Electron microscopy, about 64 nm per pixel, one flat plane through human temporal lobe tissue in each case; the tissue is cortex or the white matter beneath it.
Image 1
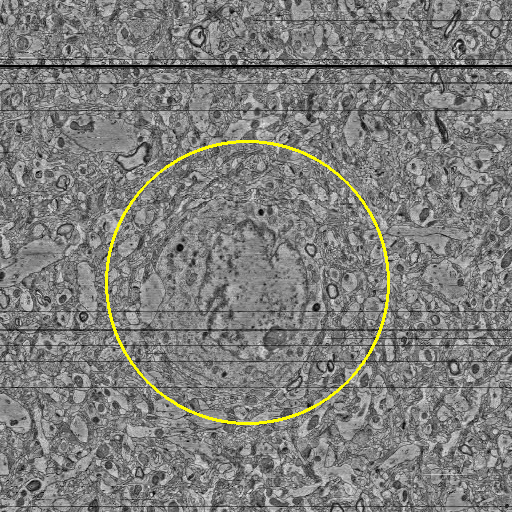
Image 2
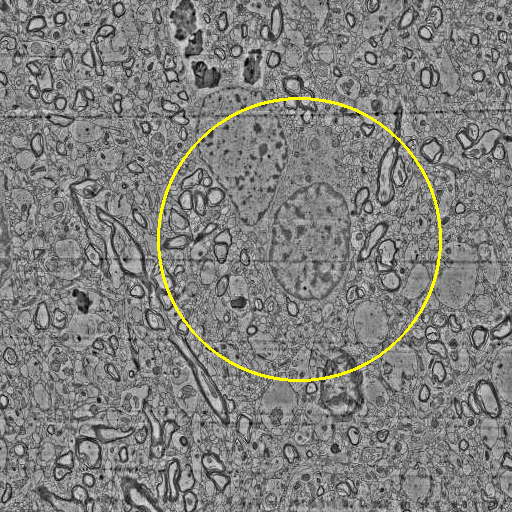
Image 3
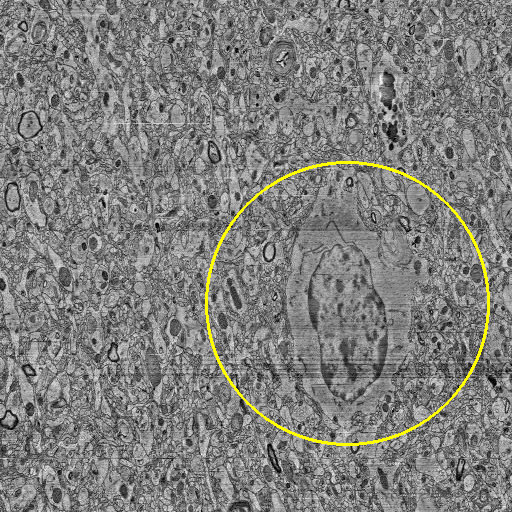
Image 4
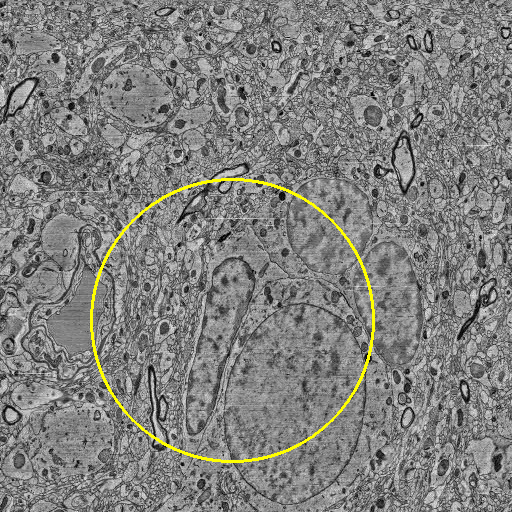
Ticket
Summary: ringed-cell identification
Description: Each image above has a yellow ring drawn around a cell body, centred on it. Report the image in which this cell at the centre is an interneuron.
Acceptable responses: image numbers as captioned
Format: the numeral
1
